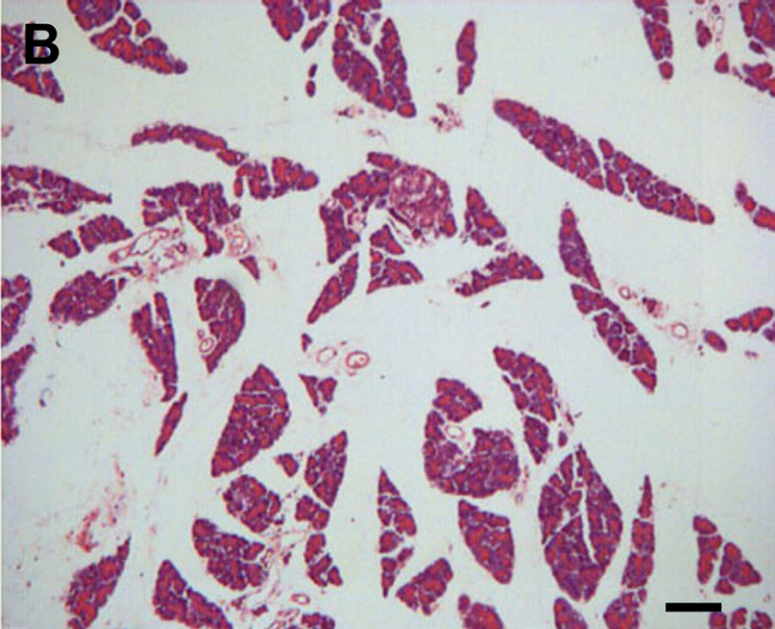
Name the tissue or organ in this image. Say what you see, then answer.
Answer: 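Pancreas. Clusters of small purple-red glandular units grouped into lobules. Small vessels and ducts lie in the pale spaces between lobules.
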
